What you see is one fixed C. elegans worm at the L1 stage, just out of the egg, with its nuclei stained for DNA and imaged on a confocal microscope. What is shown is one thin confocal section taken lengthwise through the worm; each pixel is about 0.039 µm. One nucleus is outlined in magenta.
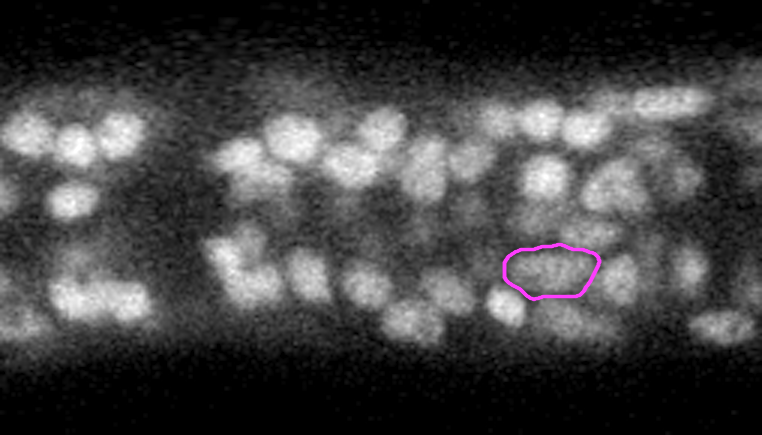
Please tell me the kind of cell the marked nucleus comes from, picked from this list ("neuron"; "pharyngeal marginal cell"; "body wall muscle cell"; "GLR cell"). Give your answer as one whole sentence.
This nucleus is from a pharyngeal marginal cell.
